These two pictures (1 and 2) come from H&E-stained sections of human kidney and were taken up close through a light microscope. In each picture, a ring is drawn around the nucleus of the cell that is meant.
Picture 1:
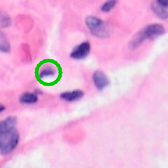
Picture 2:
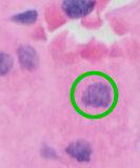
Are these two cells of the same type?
no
